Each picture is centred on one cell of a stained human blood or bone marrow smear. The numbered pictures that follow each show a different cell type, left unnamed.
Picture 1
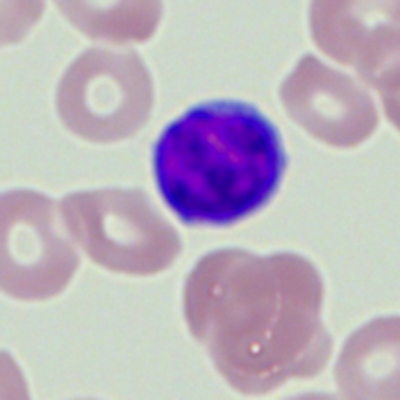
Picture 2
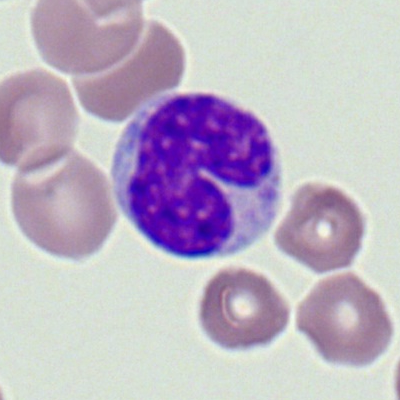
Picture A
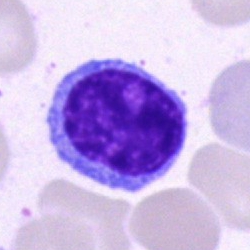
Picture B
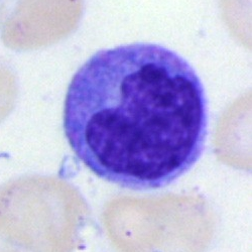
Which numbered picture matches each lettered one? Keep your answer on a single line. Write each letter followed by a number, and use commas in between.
A 1, B 2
